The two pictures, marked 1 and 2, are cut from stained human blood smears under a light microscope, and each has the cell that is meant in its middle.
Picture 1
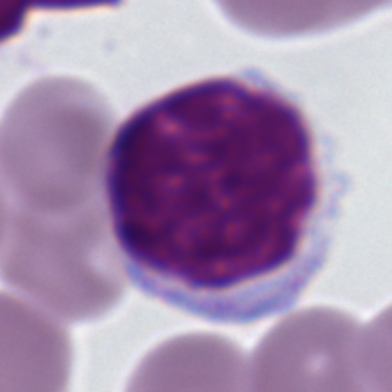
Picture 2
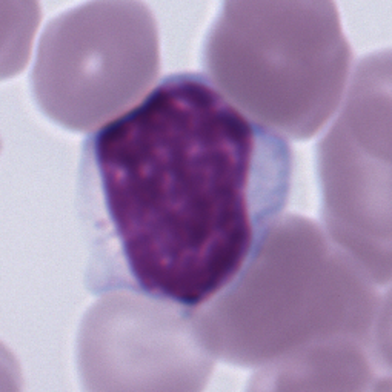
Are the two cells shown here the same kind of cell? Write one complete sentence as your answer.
Yes, both cells are large granular lymphocytes.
